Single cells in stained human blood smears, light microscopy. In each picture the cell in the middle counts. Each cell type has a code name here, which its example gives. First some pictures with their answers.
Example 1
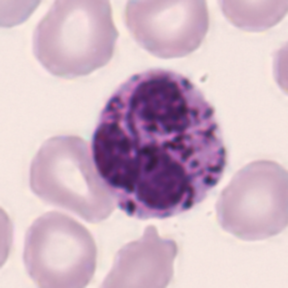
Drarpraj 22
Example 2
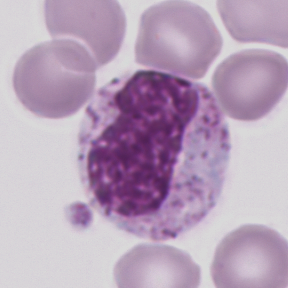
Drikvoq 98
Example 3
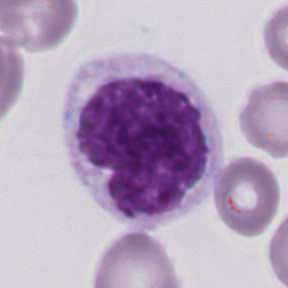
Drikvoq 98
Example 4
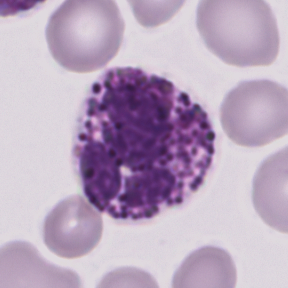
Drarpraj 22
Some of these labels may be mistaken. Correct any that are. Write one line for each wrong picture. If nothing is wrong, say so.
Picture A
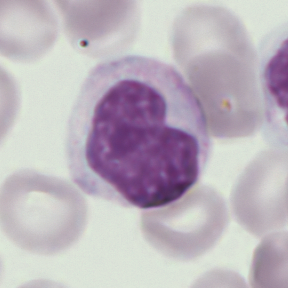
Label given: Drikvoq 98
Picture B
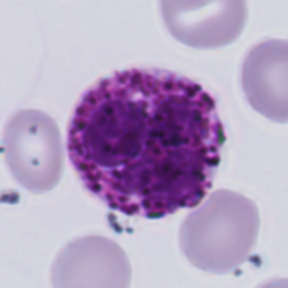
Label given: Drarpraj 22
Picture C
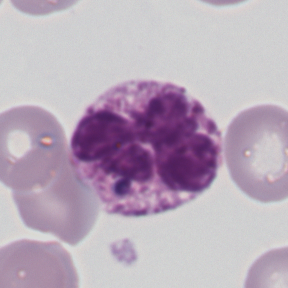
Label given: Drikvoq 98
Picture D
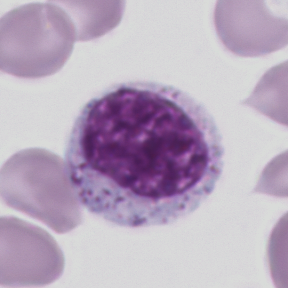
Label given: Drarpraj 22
C is labelled Drikvoq 98; correct label: Drarpraj 22
D is labelled Drarpraj 22; correct label: Drikvoq 98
